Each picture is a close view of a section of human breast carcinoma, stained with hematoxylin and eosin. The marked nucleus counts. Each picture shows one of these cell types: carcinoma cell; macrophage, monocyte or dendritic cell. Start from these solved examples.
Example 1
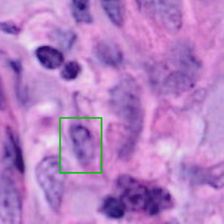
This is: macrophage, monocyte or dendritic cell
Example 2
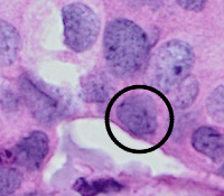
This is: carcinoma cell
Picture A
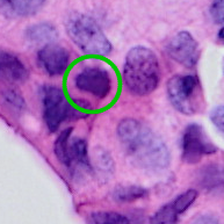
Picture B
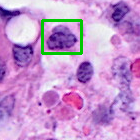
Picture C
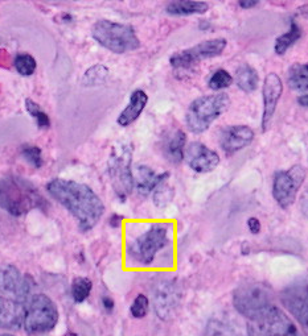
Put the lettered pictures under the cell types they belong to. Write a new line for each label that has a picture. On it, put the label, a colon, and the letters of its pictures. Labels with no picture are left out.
carcinoma cell: A
macrophage, monocyte or dendritic cell: B, C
